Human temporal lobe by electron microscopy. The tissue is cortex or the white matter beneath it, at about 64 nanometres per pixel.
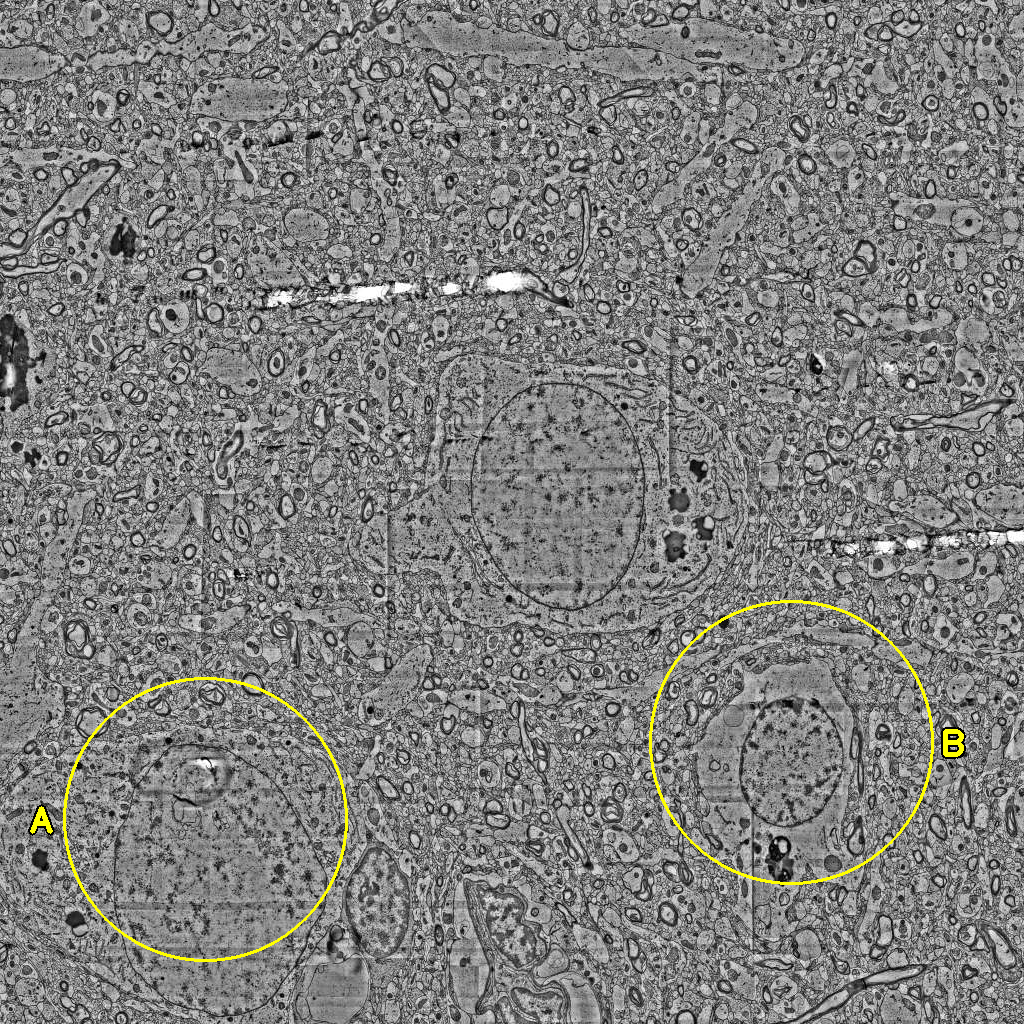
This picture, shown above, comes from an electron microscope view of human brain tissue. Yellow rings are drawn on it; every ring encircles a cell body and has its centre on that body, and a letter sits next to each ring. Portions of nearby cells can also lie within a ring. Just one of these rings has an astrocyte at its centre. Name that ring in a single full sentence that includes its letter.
In the picture, ring B has the cell asked for at its centre.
